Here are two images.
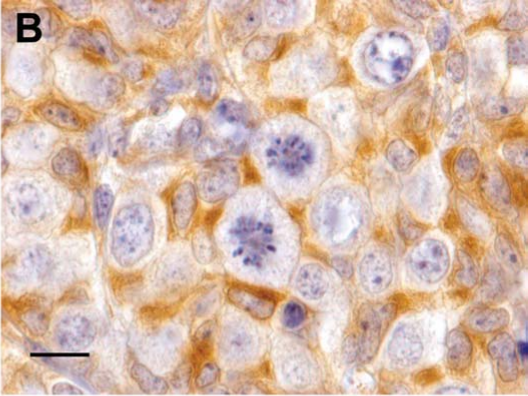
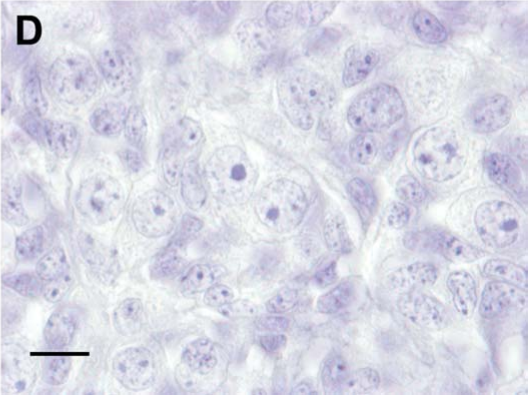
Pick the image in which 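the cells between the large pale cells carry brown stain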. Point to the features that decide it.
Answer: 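Second image: all cells are blue-grey only, with no brown anywhere. First image: brown stain fills the cytoplasm of small cells between large pale cells. That points to this answer: the first image.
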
